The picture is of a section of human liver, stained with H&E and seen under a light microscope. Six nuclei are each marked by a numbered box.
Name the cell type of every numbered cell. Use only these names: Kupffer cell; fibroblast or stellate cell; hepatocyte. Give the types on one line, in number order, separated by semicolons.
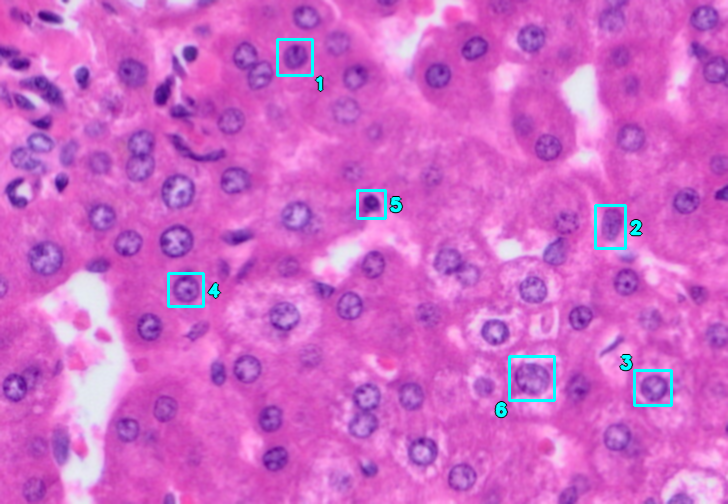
hepatocyte; Kupffer cell; hepatocyte; hepatocyte; fibroblast or stellate cell; hepatocyte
